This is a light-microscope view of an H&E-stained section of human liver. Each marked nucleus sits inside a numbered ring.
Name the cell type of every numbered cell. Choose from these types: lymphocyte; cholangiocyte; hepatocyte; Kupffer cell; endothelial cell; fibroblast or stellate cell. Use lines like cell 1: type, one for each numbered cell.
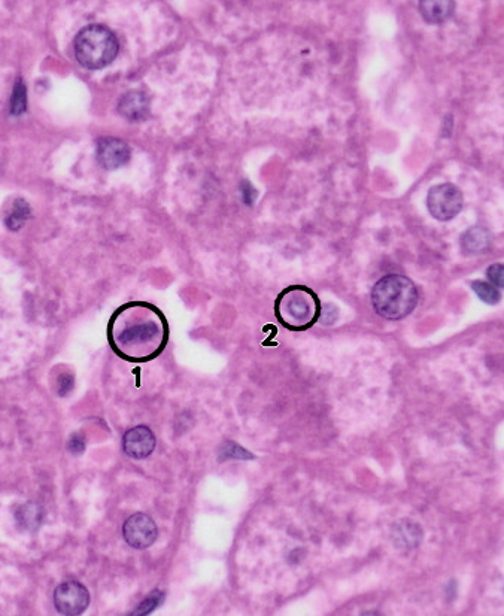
cell 1: fibroblast or stellate cell
cell 2: Kupffer cell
